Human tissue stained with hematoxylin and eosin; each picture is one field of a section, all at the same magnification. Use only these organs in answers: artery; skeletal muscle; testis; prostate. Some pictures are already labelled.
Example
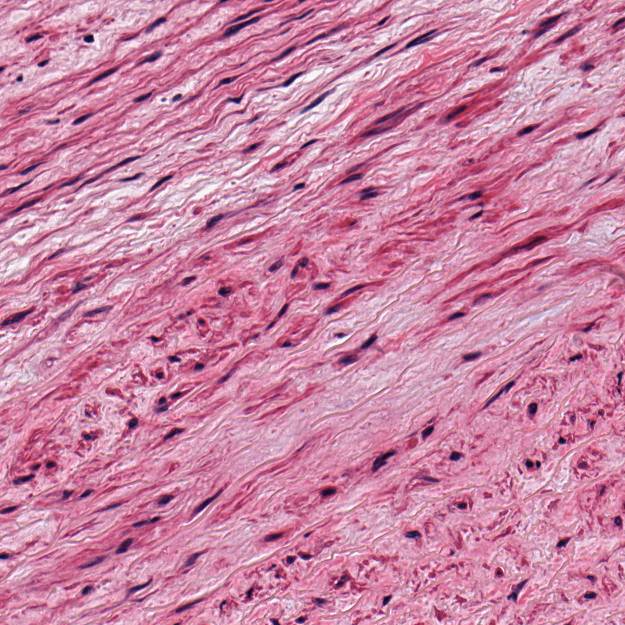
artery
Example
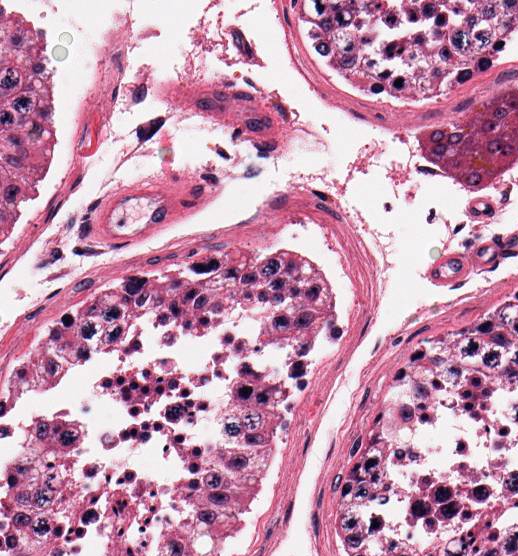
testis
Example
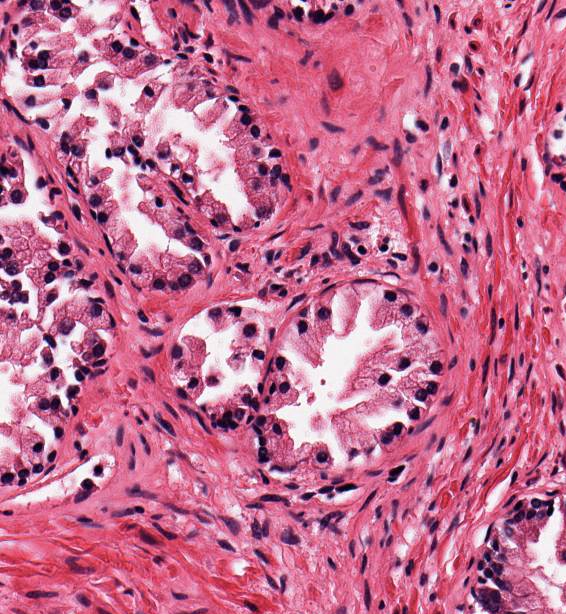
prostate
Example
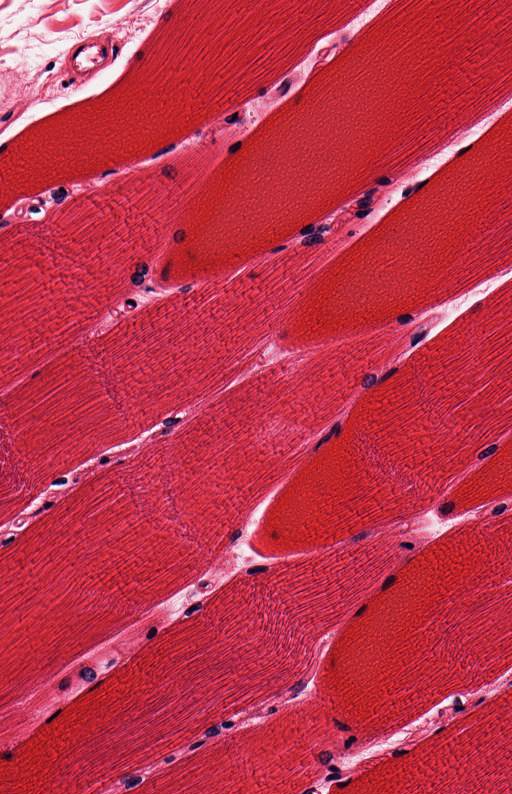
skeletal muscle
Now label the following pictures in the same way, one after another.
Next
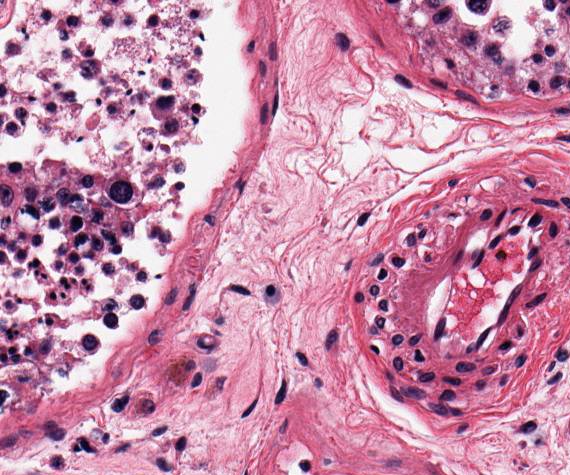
testis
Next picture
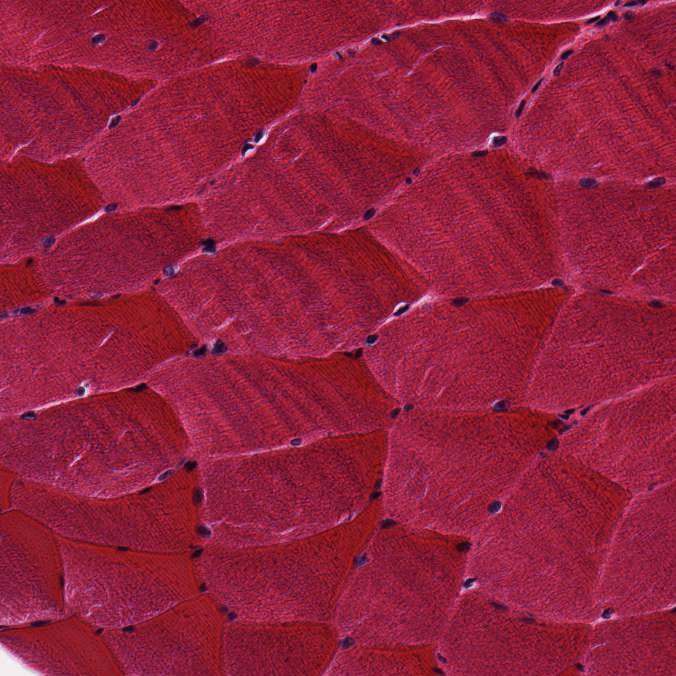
skeletal muscle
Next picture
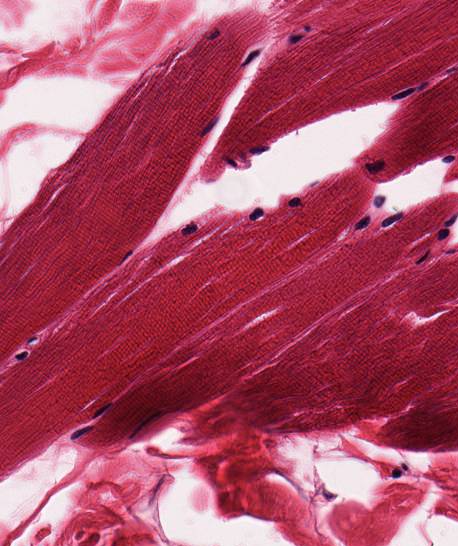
skeletal muscle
